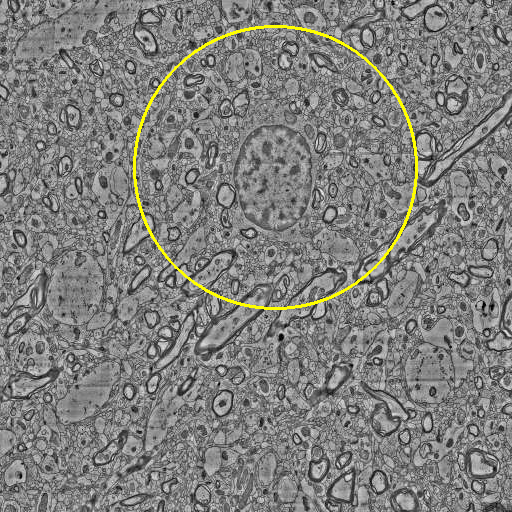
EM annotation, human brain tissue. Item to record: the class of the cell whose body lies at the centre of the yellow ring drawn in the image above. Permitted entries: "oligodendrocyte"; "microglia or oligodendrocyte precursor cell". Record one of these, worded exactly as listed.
oligodendrocyte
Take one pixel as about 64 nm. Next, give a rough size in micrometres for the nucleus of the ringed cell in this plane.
About 7 micrometres by about 5 micrometres in this plane.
